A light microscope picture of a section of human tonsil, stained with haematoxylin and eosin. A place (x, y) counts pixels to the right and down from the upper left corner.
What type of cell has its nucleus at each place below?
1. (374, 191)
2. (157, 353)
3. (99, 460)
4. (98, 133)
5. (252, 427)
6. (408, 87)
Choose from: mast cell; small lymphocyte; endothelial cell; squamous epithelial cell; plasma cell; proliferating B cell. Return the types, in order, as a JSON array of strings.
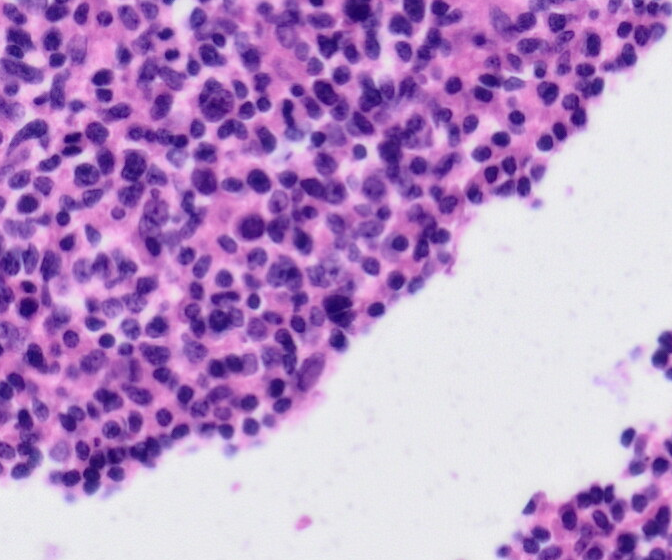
["proliferating B cell", "proliferating B cell", "small lymphocyte", "proliferating B cell", "small lymphocyte", "proliferating B cell"]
